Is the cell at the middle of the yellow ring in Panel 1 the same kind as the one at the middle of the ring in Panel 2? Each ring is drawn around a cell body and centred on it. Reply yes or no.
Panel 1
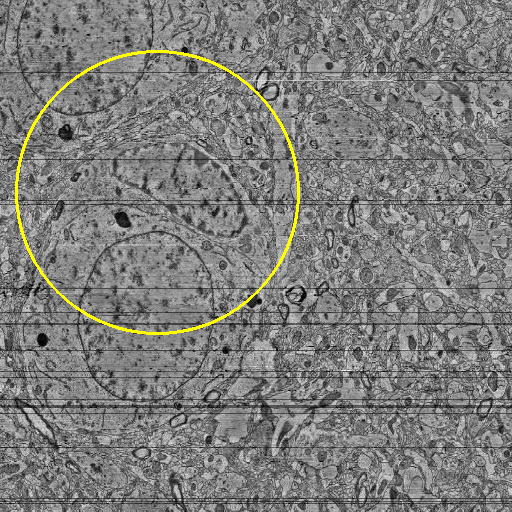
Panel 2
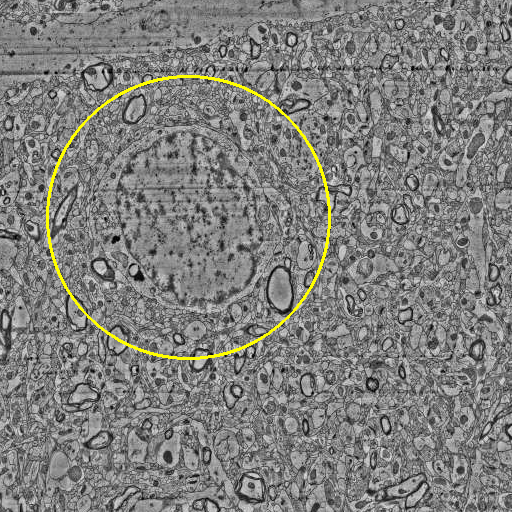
no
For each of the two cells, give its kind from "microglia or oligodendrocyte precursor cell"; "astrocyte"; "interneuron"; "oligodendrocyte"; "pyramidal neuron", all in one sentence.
The first picture has a microglial cell or oligodendrocyte precursor cell in its ring, the second has an interneuron.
